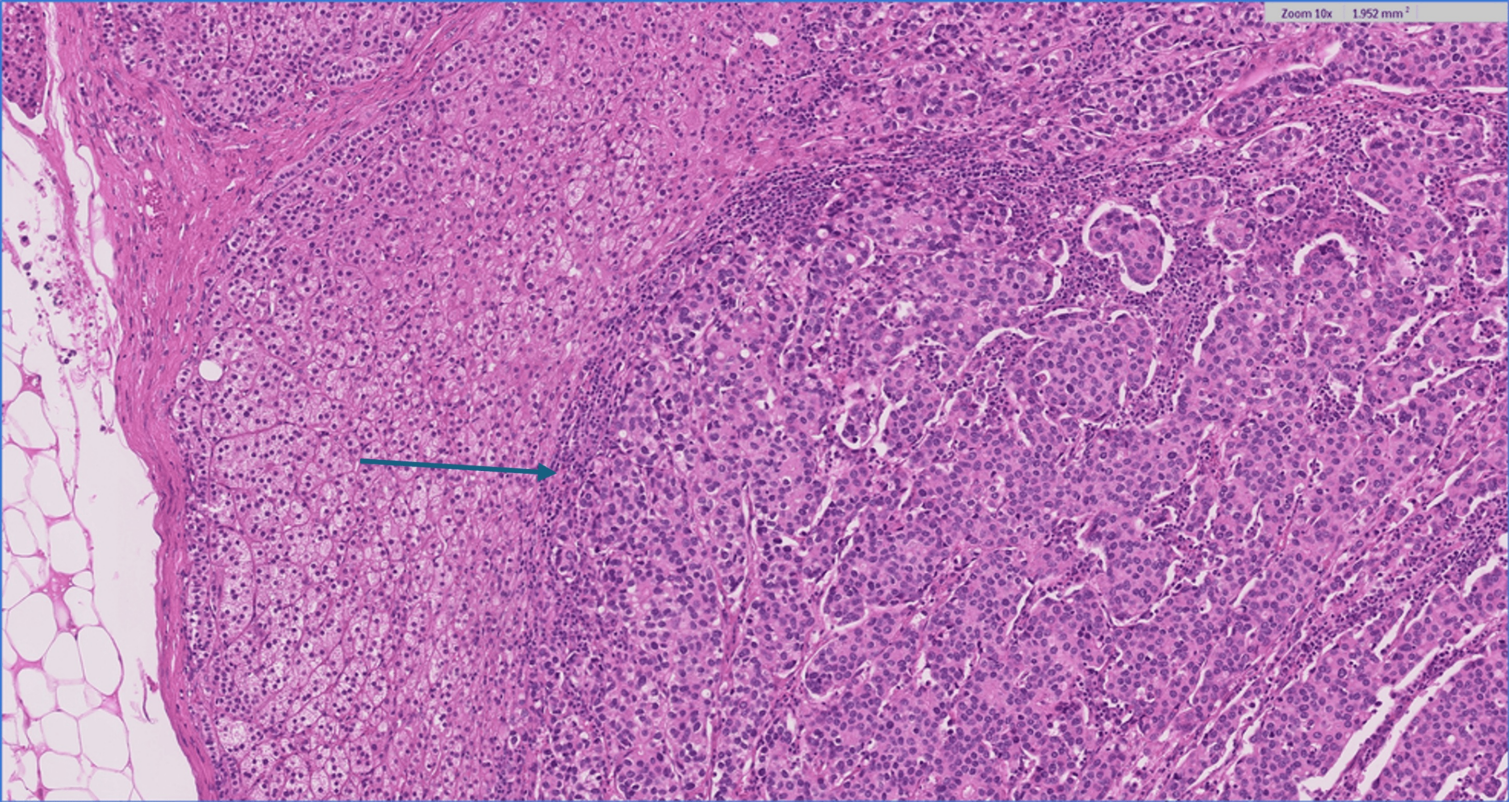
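This section shows adrenal gland with a tumor made of crowded cells arranged in solid nests and cords. The tumor lies on the right. Its cells have round, dark purple nuclei and pink to purplish cytoplasm. Clefts and thin slit-like spaces separate the nests. On the left is a zone of larger cells with pale, clear, finely vacuolated cytoplasm, arranged in cords. Outside this zone are a thin band of pink fibrous tissue and then fat cells. The tumor meets the pale zone along an irregular, infiltrative front rather than a clean capsule. A band of small dark lymphocyte-like cells runs along this border and between some of the nests.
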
